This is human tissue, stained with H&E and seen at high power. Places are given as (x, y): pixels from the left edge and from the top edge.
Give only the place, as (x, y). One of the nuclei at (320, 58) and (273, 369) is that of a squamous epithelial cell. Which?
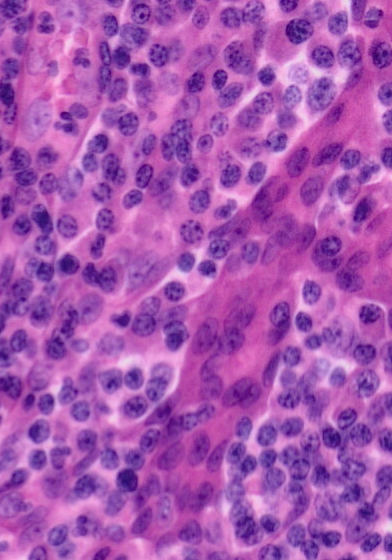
(273, 369)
